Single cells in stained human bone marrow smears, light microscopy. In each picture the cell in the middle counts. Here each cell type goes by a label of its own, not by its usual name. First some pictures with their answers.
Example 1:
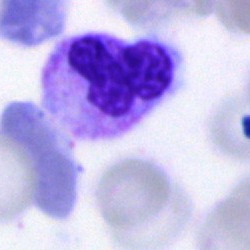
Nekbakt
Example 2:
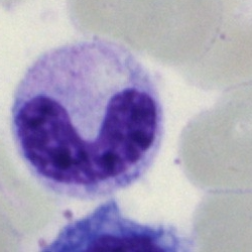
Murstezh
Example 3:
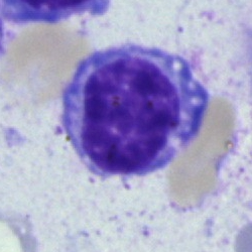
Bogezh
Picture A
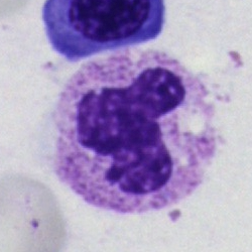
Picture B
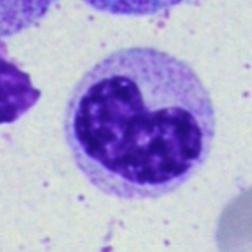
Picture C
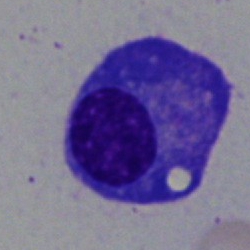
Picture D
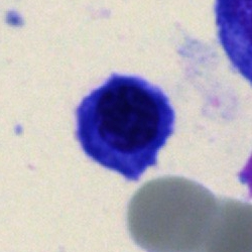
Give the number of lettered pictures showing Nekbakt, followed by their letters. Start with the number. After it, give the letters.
1, namely A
